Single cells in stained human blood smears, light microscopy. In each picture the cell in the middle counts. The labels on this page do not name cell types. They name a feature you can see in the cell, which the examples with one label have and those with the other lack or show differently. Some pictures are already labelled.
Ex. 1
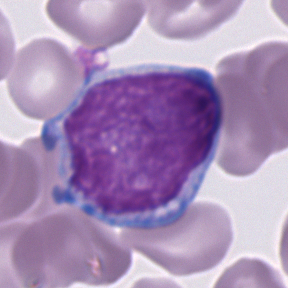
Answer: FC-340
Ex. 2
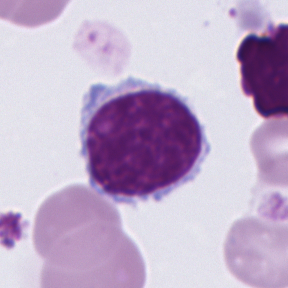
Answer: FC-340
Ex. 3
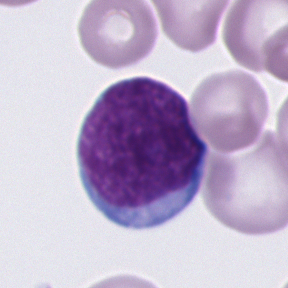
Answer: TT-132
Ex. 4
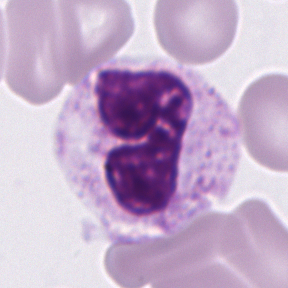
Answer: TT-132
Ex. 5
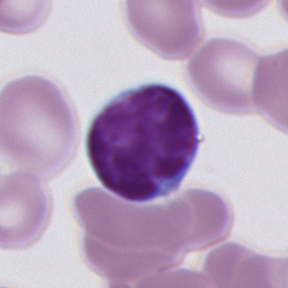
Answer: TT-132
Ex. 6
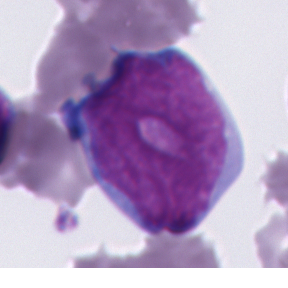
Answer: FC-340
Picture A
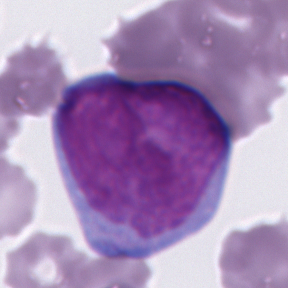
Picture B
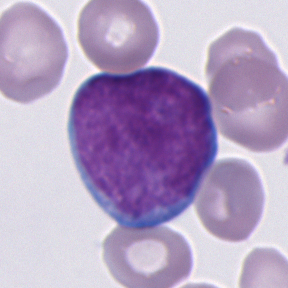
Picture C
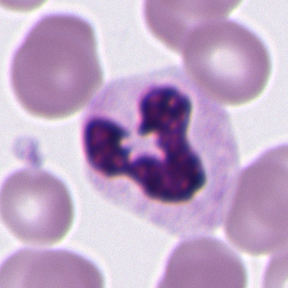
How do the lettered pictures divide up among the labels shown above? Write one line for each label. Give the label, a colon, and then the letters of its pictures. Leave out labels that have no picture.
TT-132: A, B, C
